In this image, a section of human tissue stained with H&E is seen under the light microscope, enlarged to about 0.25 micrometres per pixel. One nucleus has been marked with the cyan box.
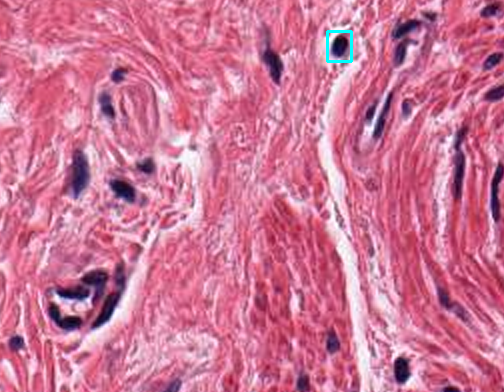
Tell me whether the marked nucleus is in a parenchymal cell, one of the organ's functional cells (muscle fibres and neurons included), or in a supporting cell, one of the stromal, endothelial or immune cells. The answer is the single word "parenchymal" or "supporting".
supporting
